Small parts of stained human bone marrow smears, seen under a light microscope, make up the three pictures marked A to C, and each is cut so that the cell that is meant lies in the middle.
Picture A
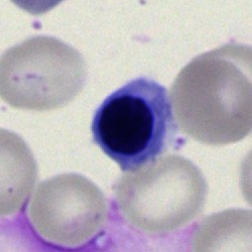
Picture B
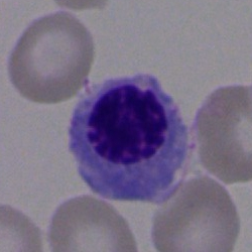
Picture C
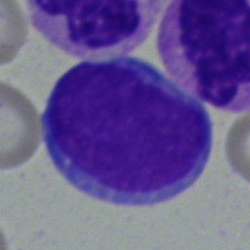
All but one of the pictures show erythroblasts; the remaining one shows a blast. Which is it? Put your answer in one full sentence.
It is picture C that shows the blast.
